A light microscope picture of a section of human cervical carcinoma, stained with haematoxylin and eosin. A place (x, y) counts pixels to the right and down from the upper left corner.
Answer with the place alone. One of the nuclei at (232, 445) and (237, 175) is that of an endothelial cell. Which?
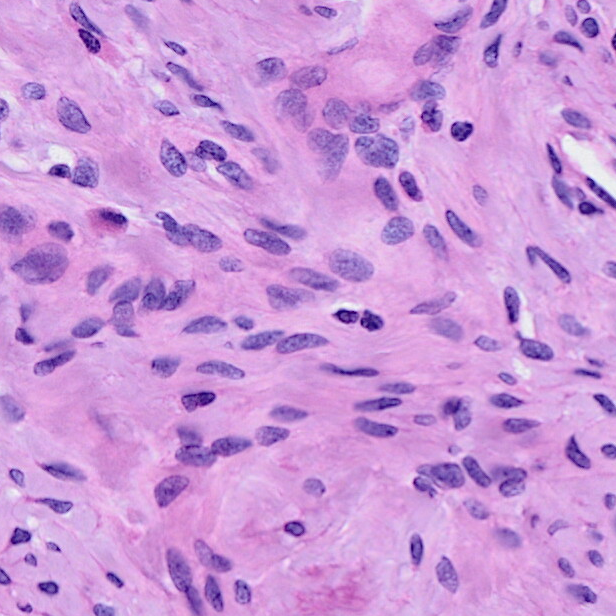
(237, 175)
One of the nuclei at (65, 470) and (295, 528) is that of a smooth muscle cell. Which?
(295, 528)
